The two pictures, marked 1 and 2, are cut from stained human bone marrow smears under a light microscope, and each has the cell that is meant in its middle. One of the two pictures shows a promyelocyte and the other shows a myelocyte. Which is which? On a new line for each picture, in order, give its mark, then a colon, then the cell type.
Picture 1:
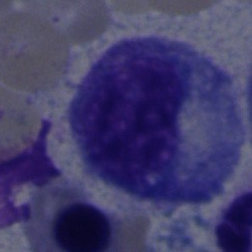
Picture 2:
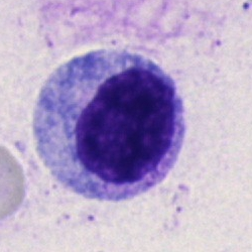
1: promyelocyte
2: myelocyte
